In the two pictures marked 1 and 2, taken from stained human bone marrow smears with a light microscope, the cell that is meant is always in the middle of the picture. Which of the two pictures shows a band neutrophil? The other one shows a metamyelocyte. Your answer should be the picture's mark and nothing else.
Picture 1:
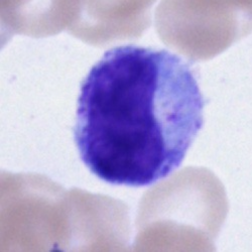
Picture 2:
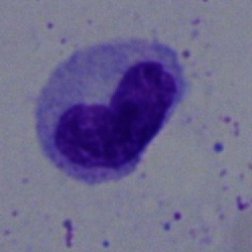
2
